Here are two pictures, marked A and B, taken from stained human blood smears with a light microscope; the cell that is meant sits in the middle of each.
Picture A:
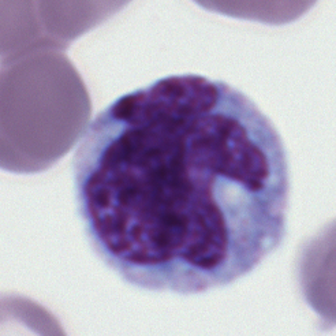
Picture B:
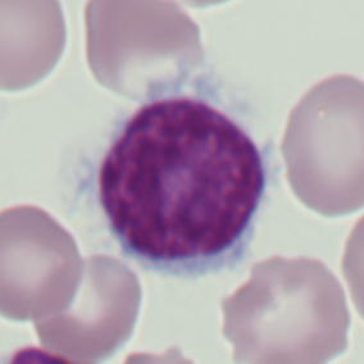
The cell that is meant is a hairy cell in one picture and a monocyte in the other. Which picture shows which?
A: monocyte
B: hairy cell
